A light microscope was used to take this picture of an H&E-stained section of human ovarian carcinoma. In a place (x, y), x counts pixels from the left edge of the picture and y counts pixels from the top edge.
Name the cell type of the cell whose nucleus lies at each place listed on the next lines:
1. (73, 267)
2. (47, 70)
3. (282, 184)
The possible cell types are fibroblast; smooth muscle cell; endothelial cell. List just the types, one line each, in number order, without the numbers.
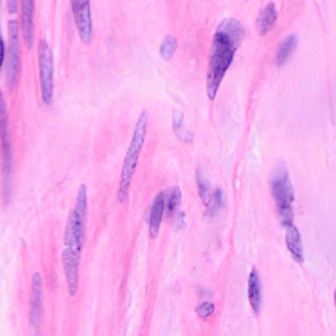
smooth muscle cell
smooth muscle cell
fibroblast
